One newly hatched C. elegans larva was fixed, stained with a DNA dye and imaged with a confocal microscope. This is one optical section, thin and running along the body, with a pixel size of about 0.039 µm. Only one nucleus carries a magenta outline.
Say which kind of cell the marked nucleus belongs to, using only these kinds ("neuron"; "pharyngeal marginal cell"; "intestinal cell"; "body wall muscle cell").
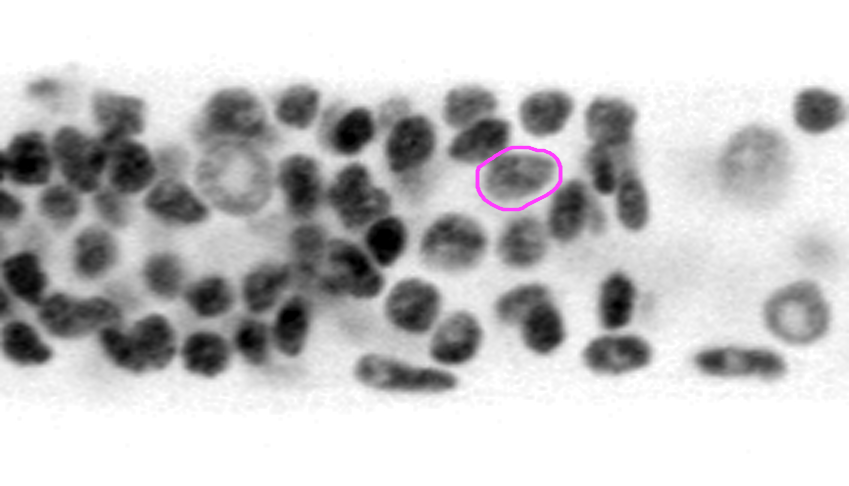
pharyngeal marginal cell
